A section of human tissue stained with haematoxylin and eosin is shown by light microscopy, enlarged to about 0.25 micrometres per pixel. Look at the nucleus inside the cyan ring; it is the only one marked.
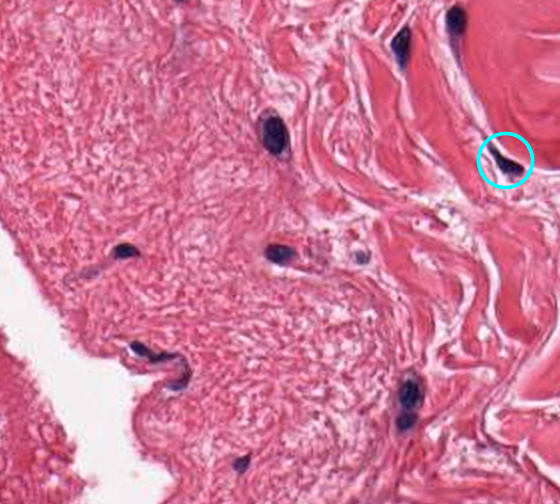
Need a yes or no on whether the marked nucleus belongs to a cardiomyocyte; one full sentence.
No, the marked nucleus forms part of a supporting cell instead of a cardiomyocyte.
